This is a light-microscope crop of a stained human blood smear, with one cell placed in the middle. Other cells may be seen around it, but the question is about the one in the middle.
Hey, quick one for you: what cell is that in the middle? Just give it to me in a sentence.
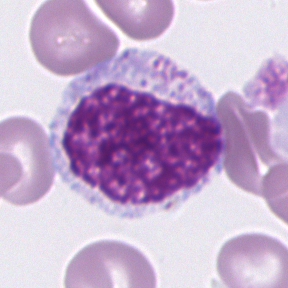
The cell the crop is centered on is a myelocyte.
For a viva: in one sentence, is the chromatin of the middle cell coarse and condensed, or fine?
The chromatin in this nucleus is coarsely clumped.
